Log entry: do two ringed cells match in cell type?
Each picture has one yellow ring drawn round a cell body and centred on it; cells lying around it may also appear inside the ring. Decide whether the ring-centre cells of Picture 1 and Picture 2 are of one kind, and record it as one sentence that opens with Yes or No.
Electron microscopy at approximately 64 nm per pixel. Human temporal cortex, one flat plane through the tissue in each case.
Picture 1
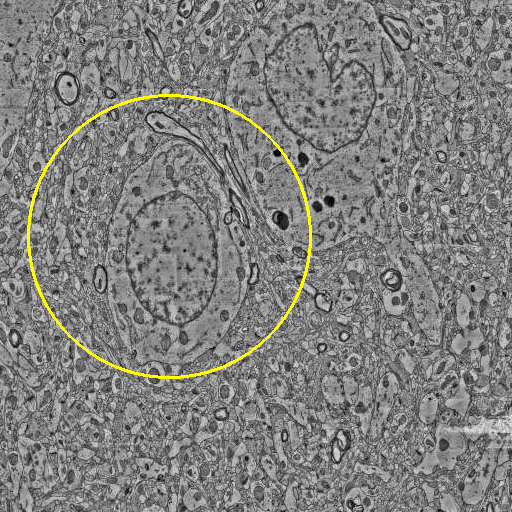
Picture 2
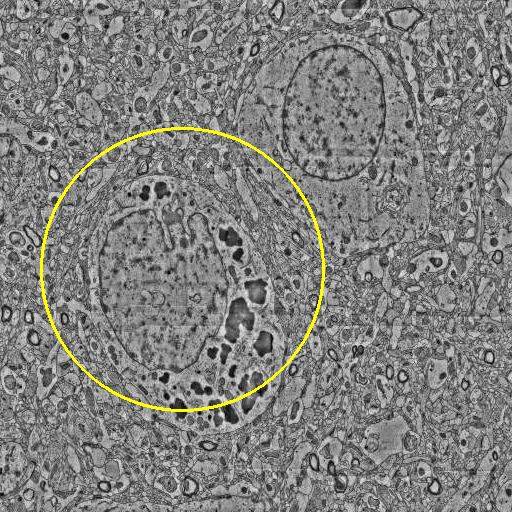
No, the cells at the ring centres of the two pictures belong to two kinds.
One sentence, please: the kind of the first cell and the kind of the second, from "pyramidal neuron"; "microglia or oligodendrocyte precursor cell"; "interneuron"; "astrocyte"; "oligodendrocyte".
The ring in the first picture surrounds a pyramidal neuron, and the ring in the second surrounds an interneuron.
